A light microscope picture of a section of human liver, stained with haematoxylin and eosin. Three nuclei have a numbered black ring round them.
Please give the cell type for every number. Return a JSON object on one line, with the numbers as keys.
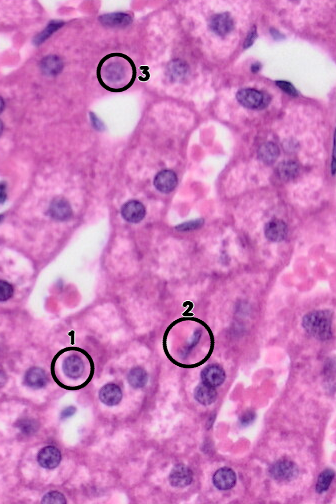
{"1": "hepatocyte", "2": "endothelial cell", "3": "hepatocyte"}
